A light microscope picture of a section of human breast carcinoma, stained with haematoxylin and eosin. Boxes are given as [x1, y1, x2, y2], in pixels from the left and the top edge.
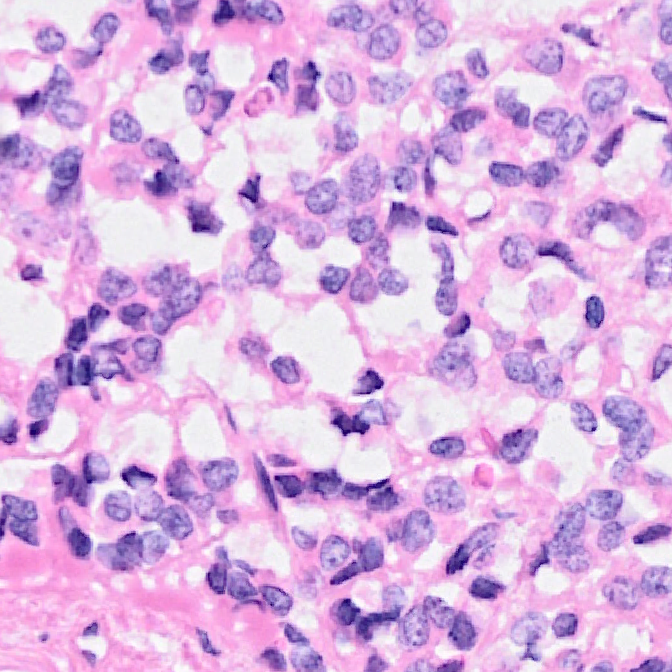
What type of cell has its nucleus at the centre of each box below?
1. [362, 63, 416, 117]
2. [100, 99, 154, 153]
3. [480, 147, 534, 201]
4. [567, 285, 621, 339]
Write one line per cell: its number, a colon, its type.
1: carcinoma cell
2: carcinoma cell
3: carcinoma cell
4: lymphocyte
